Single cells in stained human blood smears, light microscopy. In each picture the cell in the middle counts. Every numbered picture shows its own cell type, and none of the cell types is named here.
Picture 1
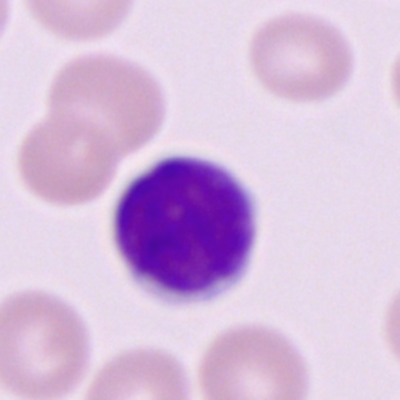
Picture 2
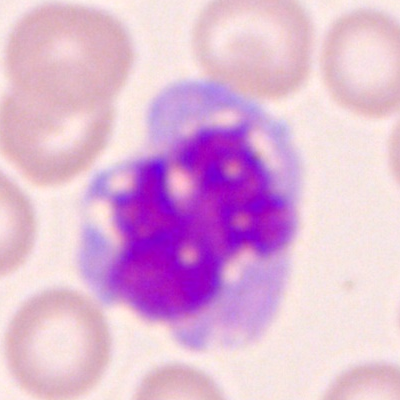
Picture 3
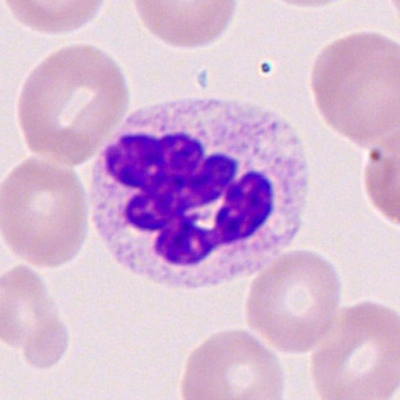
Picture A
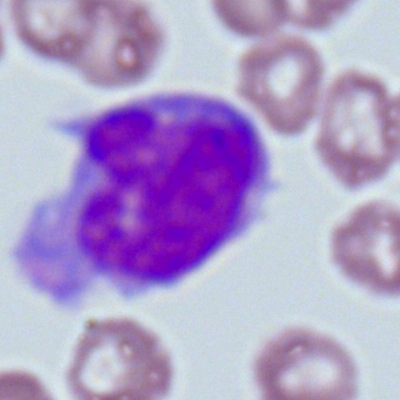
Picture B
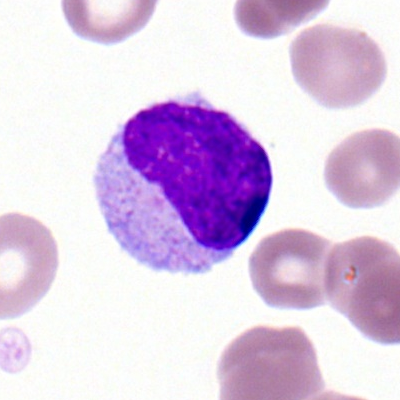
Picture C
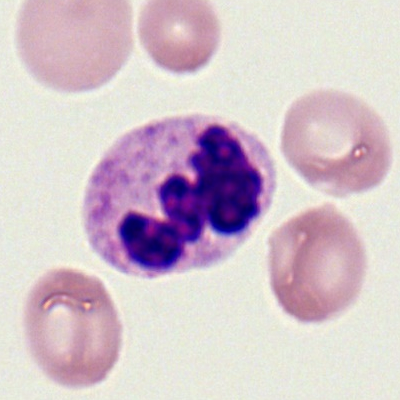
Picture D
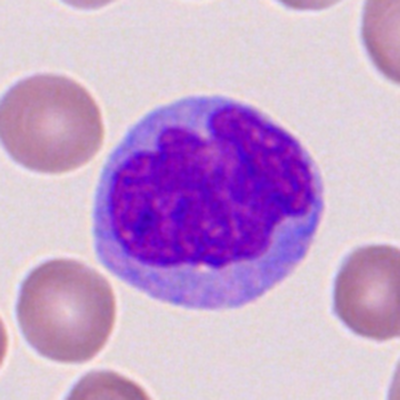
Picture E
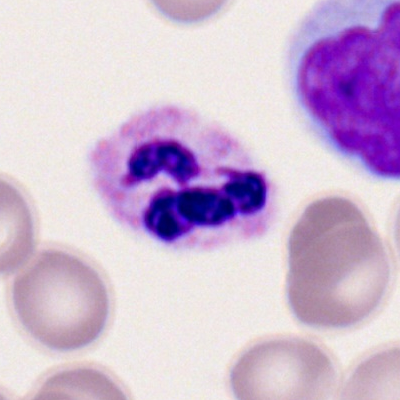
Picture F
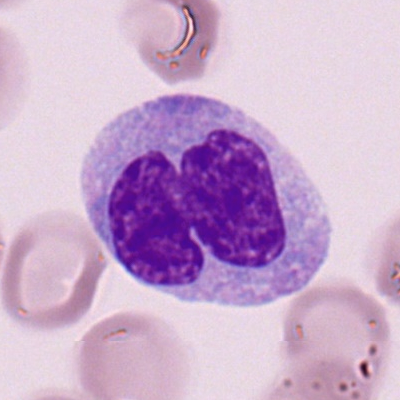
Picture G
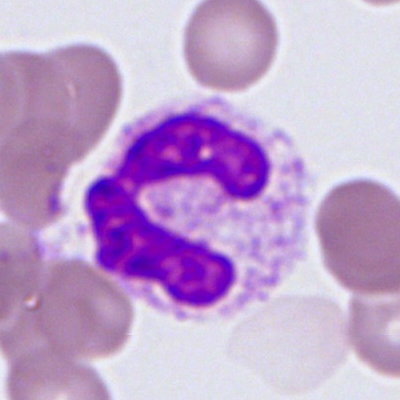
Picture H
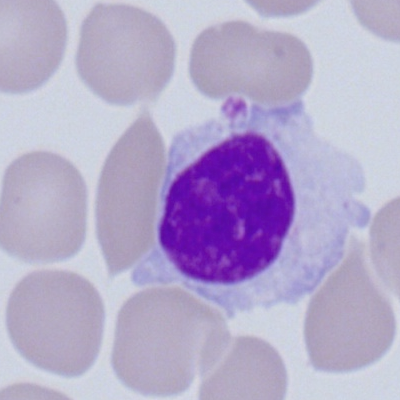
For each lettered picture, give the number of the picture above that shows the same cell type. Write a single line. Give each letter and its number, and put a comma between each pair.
A 2, B 1, C 3, D 2, E 3, F 2, G 3, H 1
